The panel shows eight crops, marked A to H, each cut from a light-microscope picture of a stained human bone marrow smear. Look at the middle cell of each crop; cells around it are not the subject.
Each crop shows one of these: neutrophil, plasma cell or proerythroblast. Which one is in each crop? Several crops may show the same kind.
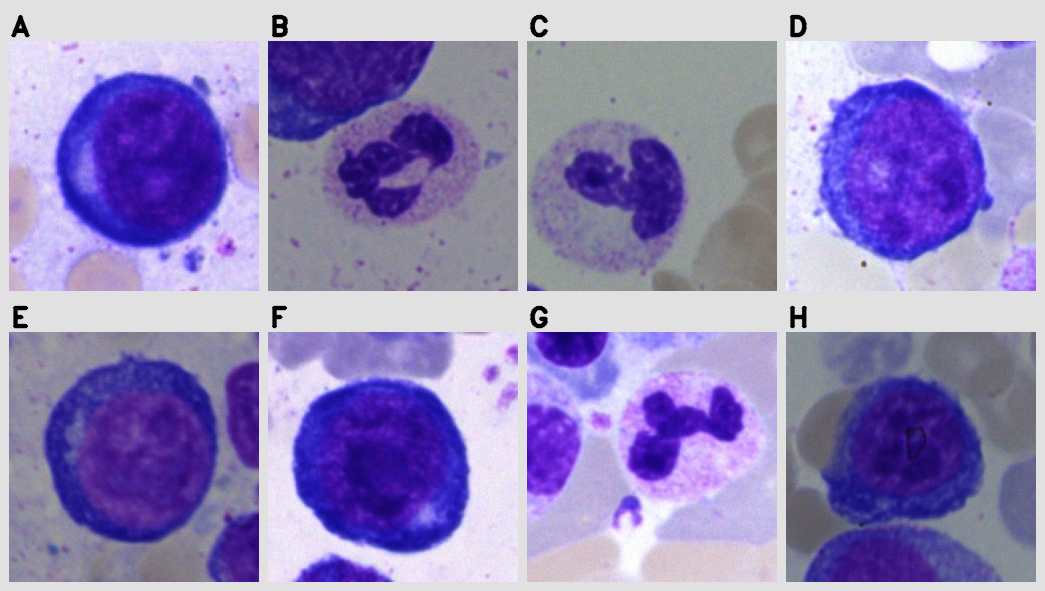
A: proerythroblast
B: neutrophil
C: neutrophil
D: proerythroblast
E: proerythroblast
F: proerythroblast
G: neutrophil
H: proerythroblast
